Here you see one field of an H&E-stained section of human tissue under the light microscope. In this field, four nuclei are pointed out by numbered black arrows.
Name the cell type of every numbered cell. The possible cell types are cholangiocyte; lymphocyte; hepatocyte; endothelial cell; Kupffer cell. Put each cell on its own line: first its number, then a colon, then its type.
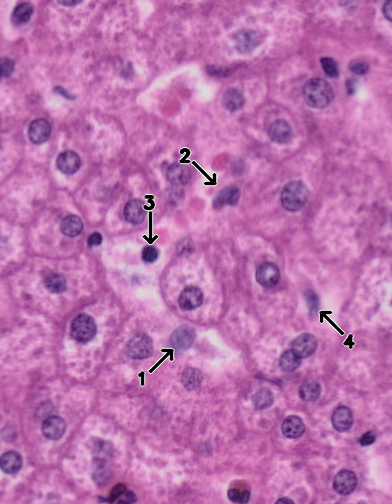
1: endothelial cell
2: endothelial cell
3: lymphocyte
4: Kupffer cell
